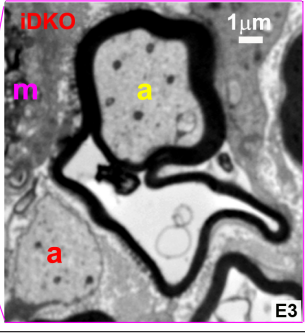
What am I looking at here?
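This electron micrograph shows myelinated nerve fibres of a peripheral nerve in cross section. A large central axon, with pale finely granular axoplasm containing small dark organelles, is wrapped by a thick, electron-dense myelin sheath whose outline is irregular and angular rather than round. The sheath forms a redundant loop or outfolding that extends away from the axon and encloses a pale space with membranous debris. Below and to the left lies a large pale axon profile that lacks any dark myelin ring, i.e. a demyelinated axon, lying directly beside the abnormally myelinated fibre.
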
